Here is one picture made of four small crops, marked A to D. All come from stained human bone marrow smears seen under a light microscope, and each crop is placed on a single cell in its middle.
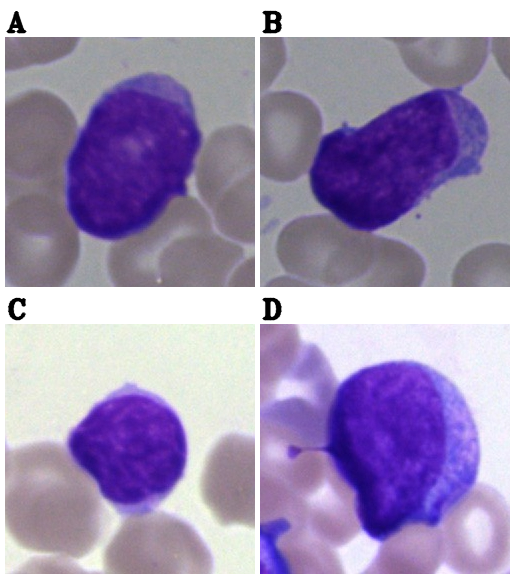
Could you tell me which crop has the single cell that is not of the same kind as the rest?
C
